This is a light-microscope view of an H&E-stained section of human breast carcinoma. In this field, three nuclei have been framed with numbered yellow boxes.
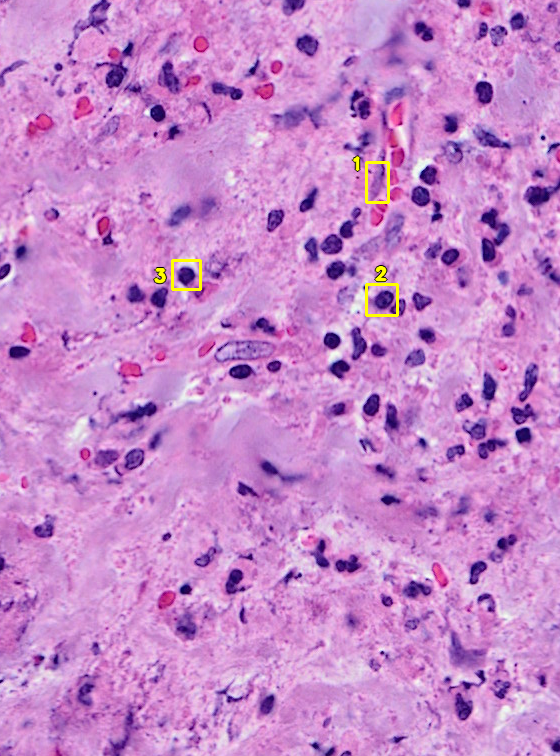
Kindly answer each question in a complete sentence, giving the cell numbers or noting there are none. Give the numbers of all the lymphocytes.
By cell type, the cells numbered 2 and 3 are lymphocytes.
